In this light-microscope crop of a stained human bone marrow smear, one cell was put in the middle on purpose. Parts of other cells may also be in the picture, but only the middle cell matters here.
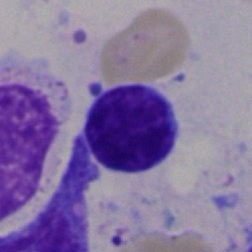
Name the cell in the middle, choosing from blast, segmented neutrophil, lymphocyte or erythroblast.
lymphocyte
